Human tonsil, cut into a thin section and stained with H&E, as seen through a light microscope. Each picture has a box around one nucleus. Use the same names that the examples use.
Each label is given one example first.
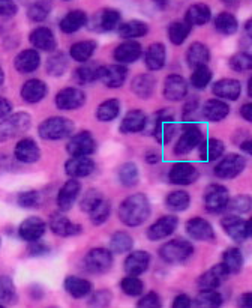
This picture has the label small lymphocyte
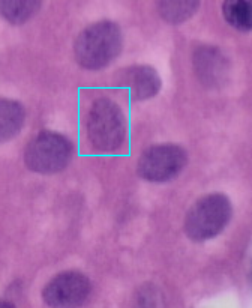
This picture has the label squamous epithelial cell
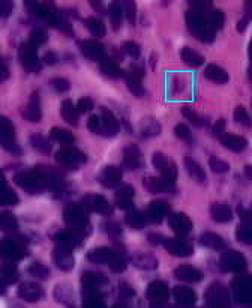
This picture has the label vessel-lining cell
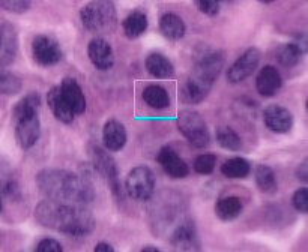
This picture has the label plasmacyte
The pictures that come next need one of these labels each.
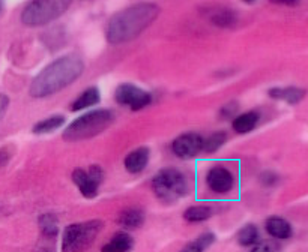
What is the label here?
plasmacyte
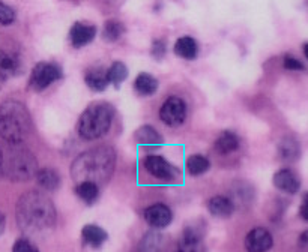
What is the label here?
plasmacyte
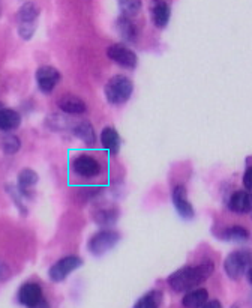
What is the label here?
plasmacyte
